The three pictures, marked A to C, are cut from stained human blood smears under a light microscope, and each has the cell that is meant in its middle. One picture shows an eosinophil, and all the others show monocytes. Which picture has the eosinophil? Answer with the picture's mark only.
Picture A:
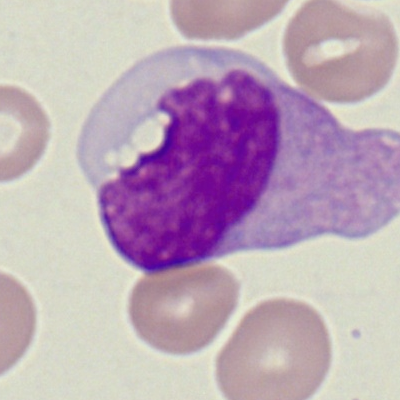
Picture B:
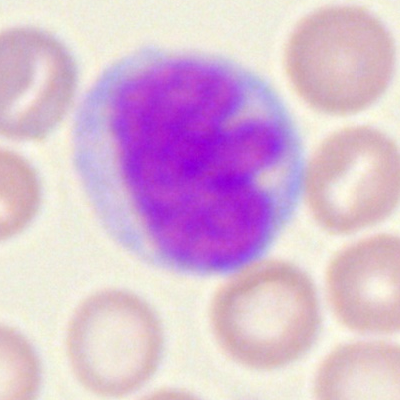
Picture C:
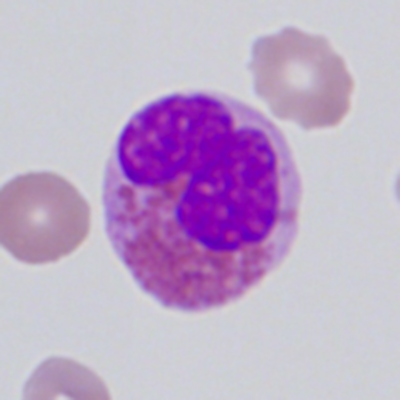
C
